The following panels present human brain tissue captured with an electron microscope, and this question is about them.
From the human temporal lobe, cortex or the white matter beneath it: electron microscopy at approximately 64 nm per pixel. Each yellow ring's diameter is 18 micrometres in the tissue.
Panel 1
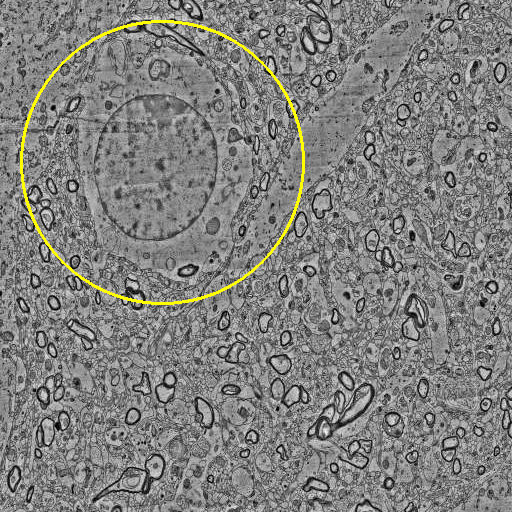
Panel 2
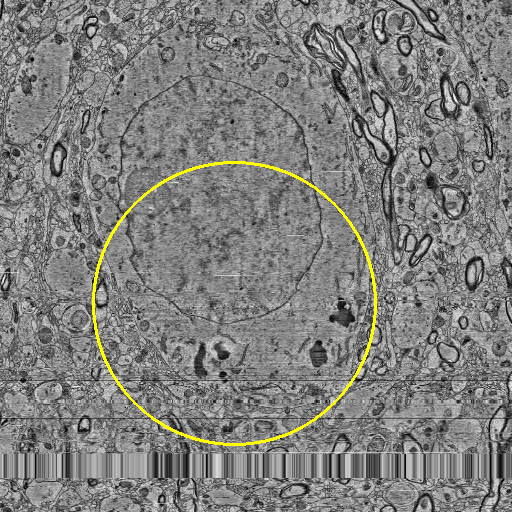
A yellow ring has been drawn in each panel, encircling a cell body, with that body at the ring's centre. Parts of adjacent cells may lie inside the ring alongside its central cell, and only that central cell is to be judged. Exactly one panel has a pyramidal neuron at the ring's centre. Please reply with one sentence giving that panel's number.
The ring whose central cell fits the description is the one in panel 2.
